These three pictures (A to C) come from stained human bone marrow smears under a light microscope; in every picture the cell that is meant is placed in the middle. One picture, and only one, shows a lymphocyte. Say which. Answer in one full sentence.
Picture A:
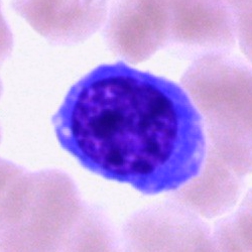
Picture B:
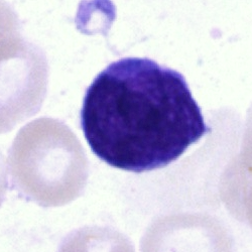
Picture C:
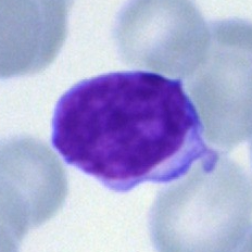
The lymphocyte is the one in picture C.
